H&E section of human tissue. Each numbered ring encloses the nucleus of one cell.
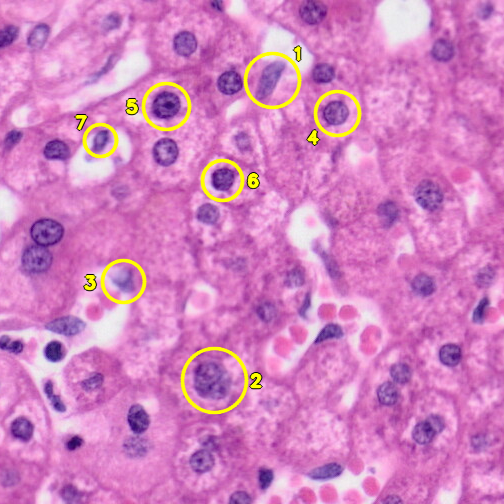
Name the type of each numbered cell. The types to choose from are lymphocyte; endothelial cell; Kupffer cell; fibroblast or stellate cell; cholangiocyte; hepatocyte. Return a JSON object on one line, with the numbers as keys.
{"1": "Kupffer cell", "2": "hepatocyte", "3": "endothelial cell", "4": "hepatocyte", "5": "hepatocyte", "6": "hepatocyte", "7": "Kupffer cell"}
